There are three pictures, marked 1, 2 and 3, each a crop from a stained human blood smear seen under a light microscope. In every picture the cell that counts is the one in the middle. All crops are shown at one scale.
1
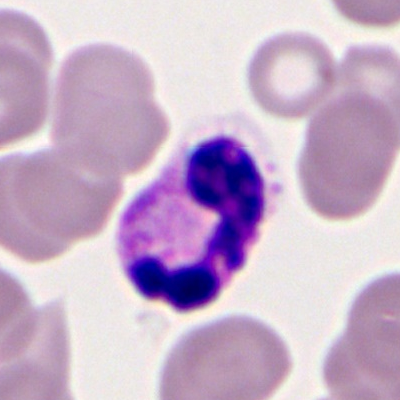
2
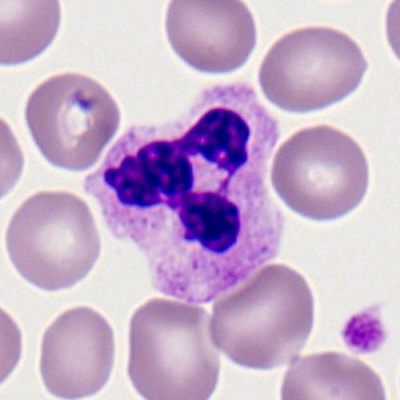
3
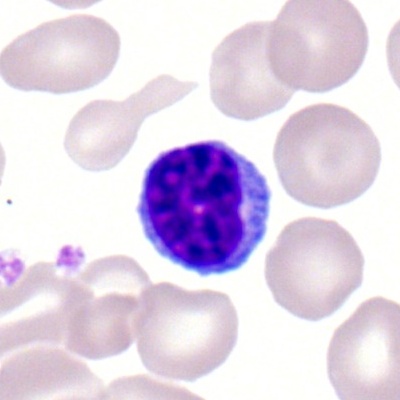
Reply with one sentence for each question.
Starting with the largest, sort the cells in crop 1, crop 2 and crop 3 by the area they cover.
Going down, they run 2, 1, 3.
